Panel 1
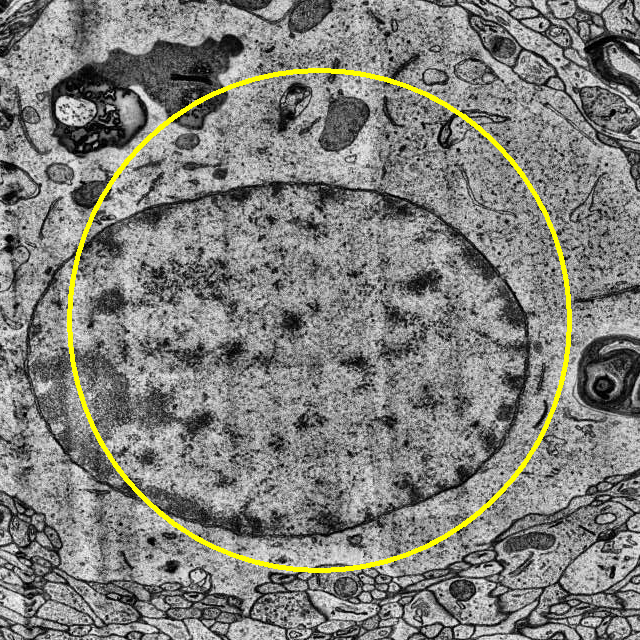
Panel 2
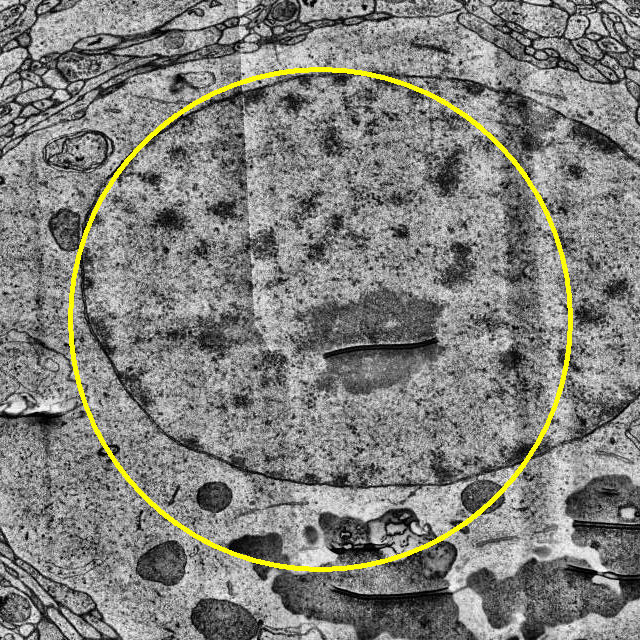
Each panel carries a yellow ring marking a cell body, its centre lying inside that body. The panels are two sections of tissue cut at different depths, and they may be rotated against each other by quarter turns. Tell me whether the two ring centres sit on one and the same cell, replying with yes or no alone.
yes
